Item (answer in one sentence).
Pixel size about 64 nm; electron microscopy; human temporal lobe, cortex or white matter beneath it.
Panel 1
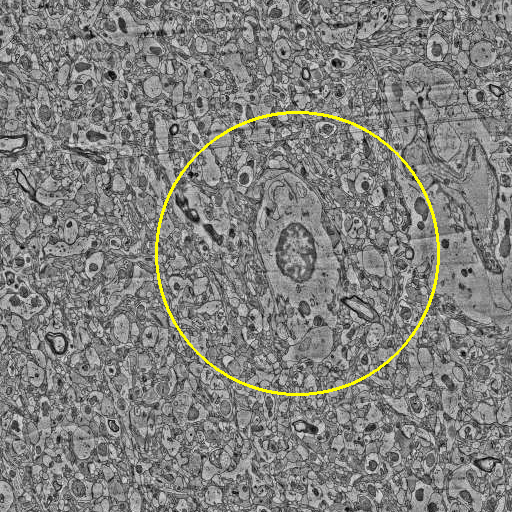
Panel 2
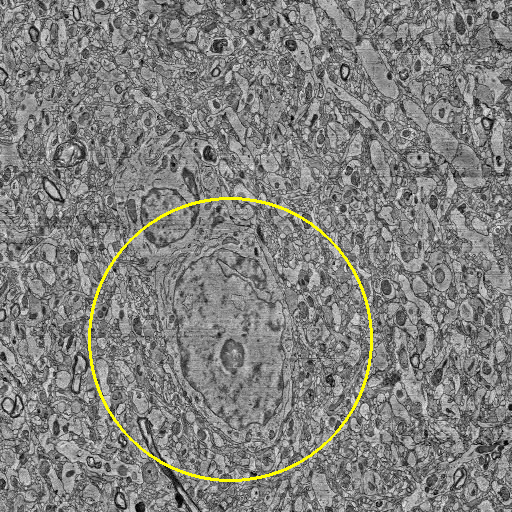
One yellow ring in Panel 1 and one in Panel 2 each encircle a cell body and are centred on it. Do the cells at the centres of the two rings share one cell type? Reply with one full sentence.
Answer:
No, Panel 1 and Panel 2 show cells of two types at the centres of their rings.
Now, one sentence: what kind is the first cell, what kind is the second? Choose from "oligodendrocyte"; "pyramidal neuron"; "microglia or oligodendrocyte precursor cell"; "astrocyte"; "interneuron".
The first picture has an astrocyte at its ring centre, and the second has an interneuron.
